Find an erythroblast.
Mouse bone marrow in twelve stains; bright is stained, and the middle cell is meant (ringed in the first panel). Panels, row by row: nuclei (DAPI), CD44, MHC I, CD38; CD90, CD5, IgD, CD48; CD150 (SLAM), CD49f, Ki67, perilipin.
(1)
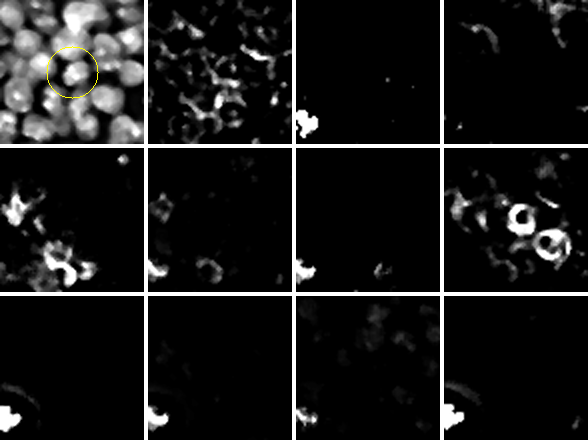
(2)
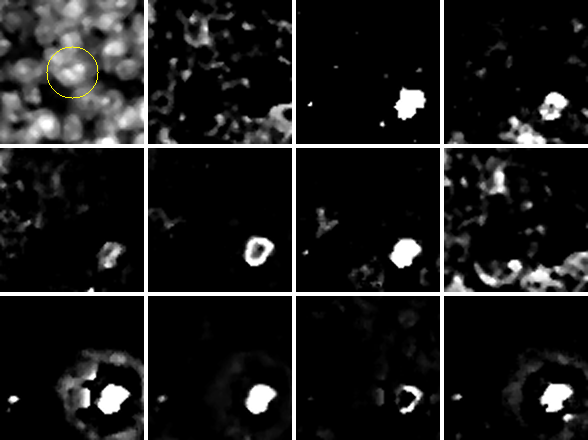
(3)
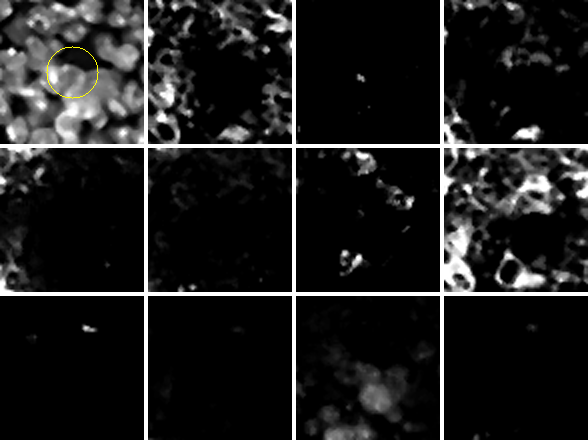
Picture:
3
